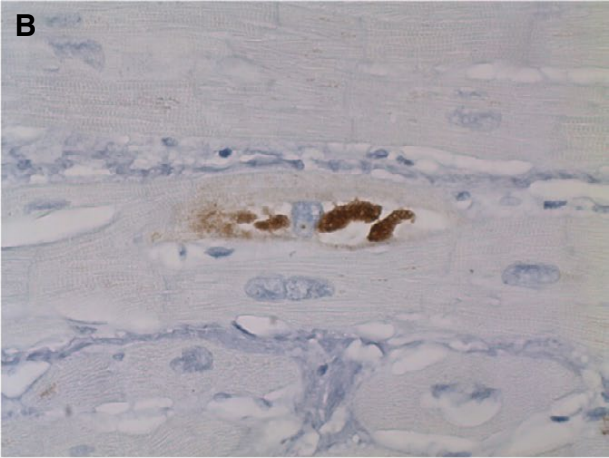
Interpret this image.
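Longitudinally cut cardiac muscle with striated cardiomyocytes, one of which holds dense dark brown clumps on both sides of its central oval nucleus, with paler granular brown staining nearby. The surrounding fibres and the small interstitial nuclei are counterstained blue and show no brown staining.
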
